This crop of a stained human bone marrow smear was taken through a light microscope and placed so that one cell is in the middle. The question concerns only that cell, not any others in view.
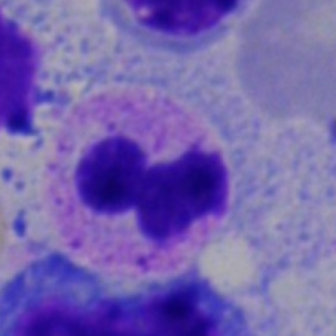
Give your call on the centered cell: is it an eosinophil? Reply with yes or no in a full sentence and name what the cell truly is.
No, the middle cell is actually a neutrophil rather than an eosinophil.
